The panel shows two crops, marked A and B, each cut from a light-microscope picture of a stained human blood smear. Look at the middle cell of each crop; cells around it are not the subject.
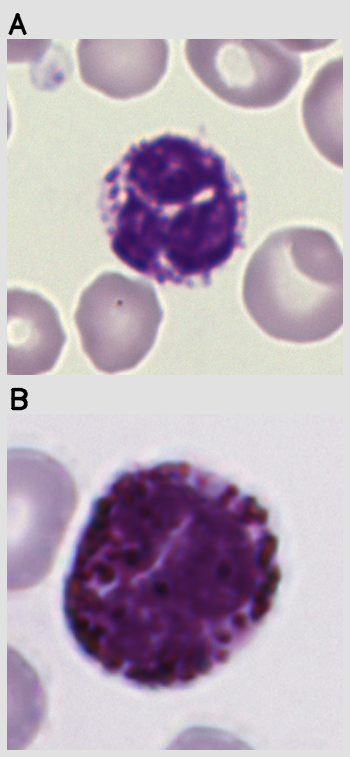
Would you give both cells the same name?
yes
